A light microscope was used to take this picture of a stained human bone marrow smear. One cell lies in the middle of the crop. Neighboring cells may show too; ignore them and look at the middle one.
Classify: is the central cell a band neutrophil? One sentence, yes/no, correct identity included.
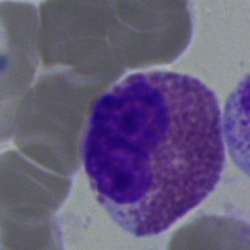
No, it isn't a band neutrophil; what sits in the middle is an eosinophil.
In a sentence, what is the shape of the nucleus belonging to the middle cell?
A single compact nucleus is present, shaped round, oval or like a kidney.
